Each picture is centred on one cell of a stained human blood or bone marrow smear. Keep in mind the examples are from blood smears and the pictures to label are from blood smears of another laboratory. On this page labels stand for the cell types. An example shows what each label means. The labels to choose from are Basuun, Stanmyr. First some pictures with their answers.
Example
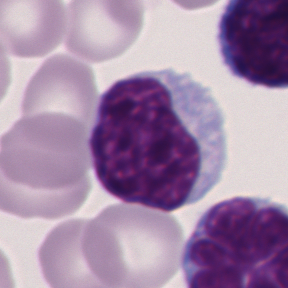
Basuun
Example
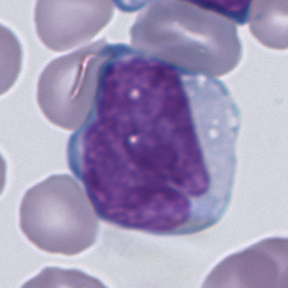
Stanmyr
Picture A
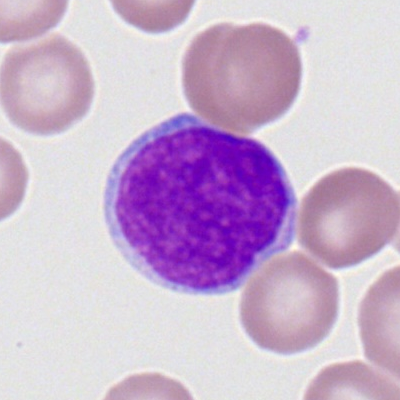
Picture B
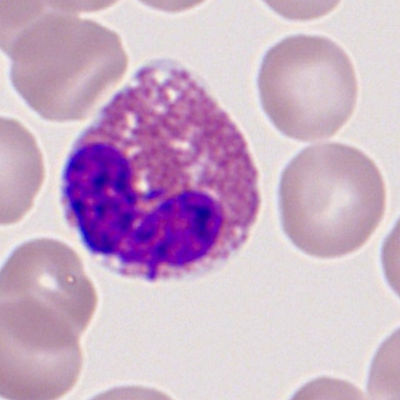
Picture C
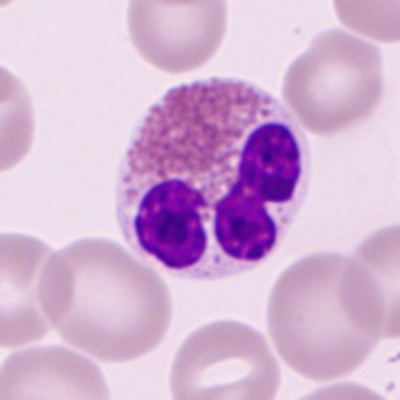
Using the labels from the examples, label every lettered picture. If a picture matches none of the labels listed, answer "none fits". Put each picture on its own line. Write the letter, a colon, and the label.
A: Stanmyr
B: none fits
C: none fits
